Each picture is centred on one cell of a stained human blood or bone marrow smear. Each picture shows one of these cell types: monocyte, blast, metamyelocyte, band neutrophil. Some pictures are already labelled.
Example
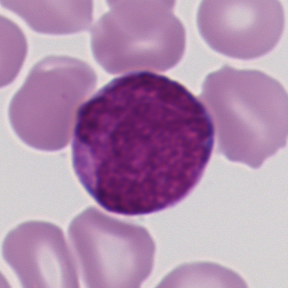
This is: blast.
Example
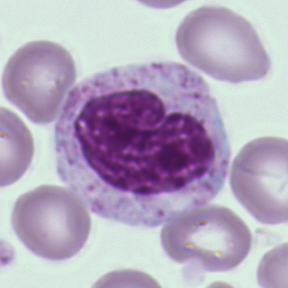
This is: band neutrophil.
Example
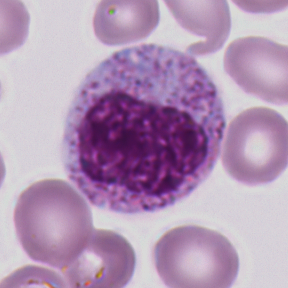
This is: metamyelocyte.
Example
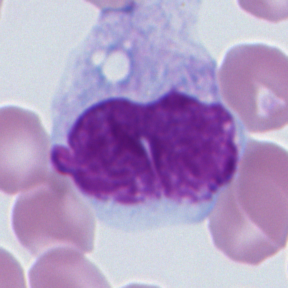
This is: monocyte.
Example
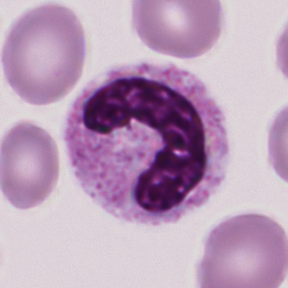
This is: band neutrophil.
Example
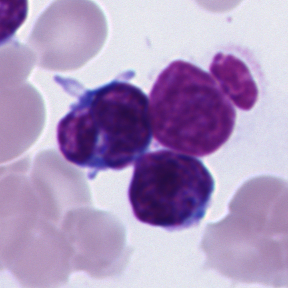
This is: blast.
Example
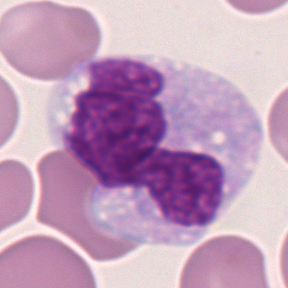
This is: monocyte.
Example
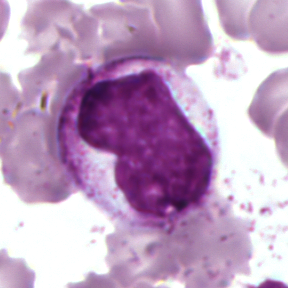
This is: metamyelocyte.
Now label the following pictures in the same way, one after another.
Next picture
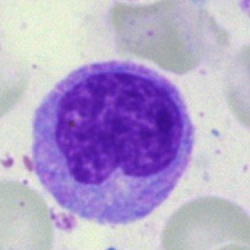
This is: monocyte.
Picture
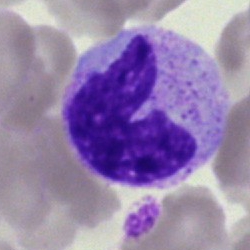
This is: band neutrophil.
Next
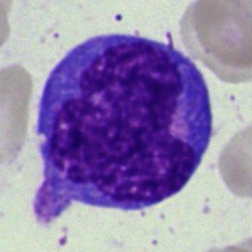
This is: monocyte.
